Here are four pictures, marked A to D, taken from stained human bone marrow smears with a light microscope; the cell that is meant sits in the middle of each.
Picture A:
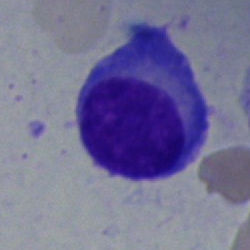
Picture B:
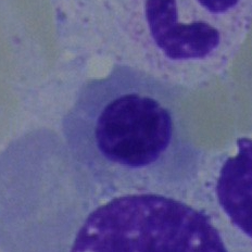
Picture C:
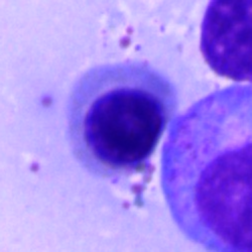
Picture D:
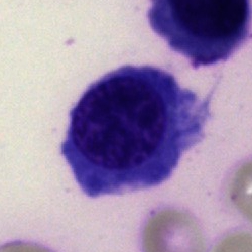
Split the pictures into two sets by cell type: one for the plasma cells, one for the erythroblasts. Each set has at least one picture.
A: plasma cell
B: erythroblast
C: erythroblast
D: erythroblast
